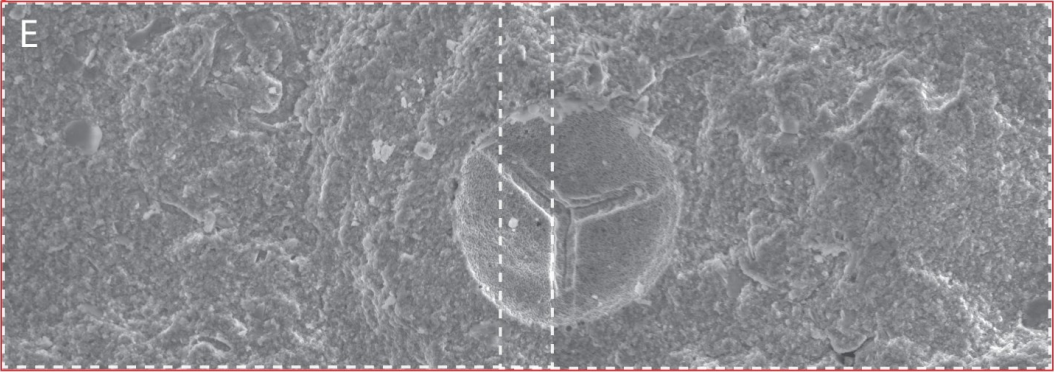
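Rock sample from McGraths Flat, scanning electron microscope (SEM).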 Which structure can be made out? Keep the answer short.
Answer: spore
